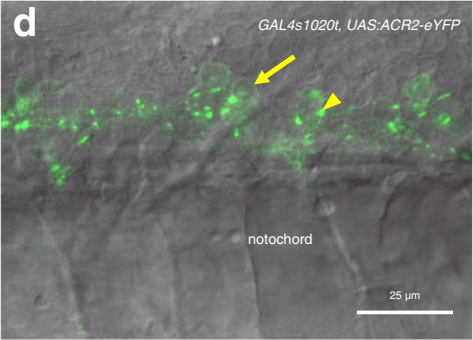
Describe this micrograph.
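A band of rounded spinal neurons lies in the spinal cord directly above the notochord. Their outlines at the plasma membrane are only faintly green, so the cell borders are less crisp. Inside and around the cells are many bright green dots, or puncta, which dominate the label. The cells are packed side by side in a row along the lower part of the cord. Some faint green streaks run down toward the notochord.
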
